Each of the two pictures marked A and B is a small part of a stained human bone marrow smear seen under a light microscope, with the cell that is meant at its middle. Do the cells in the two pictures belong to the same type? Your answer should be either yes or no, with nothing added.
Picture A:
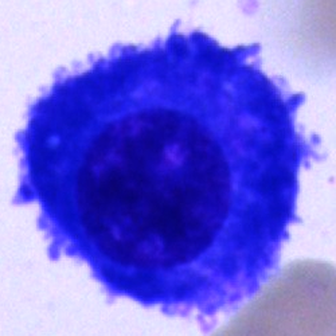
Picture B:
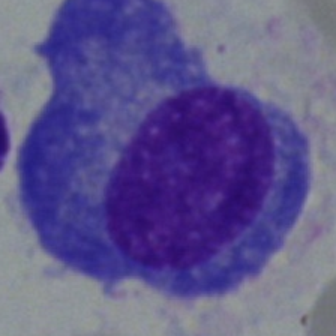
yes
